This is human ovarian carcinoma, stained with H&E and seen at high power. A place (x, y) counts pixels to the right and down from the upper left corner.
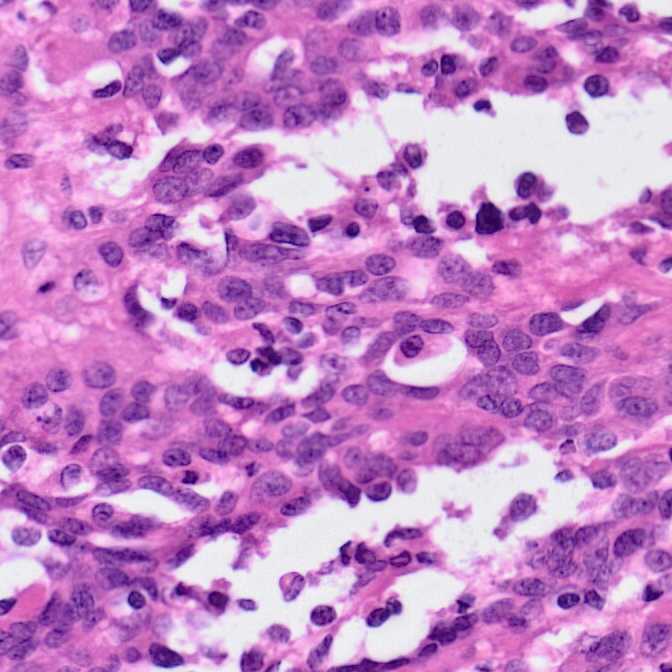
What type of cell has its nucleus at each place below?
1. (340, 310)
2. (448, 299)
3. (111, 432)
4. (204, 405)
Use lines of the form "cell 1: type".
cell 1: macrophage or monocyte
cell 2: carcinoma cell
cell 3: carcinoma cell
cell 4: carcinoma cell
